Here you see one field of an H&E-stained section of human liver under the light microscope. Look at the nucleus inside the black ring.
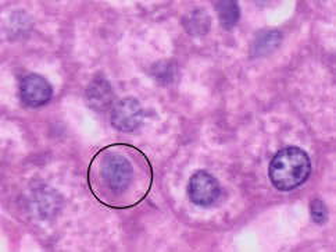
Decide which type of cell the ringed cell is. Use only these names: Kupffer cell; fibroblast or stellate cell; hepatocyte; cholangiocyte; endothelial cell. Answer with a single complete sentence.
Within the stained tissue, the ringed cell is an endothelial cell.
